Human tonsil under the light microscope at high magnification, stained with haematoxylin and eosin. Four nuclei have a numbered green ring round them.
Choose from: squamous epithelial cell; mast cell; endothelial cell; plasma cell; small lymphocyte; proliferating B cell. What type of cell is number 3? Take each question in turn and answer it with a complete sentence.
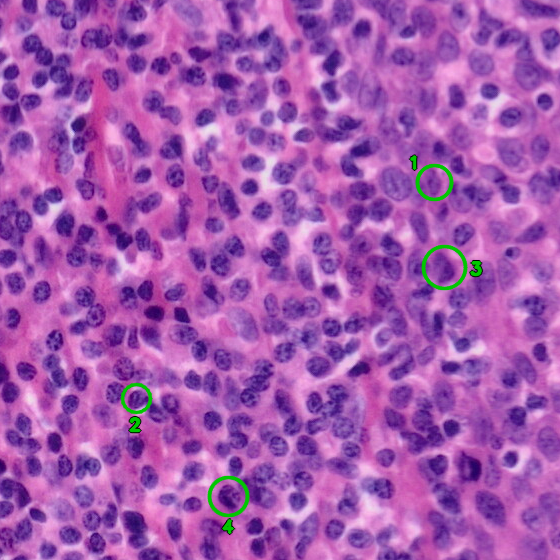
The cell identified by number 3 is a squamous epithelial cell.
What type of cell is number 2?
Identified as a plasma cell is the cell bearing the number 2.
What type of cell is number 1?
The cell bearing label 1 corresponds to a squamous epithelial cell.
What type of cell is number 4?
Identified by the number 4, the cell is a plasma cell.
